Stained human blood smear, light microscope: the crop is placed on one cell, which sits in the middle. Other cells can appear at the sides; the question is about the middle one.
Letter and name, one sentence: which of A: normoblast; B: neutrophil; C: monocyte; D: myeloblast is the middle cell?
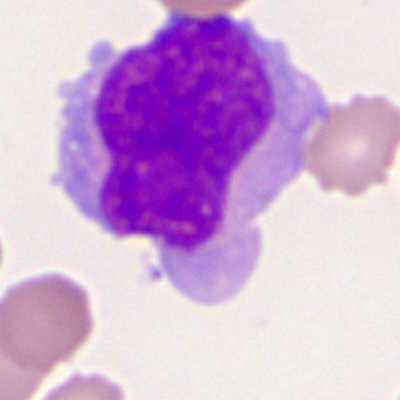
What sits in the middle of the crop is a monocyte, and option C is correct.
